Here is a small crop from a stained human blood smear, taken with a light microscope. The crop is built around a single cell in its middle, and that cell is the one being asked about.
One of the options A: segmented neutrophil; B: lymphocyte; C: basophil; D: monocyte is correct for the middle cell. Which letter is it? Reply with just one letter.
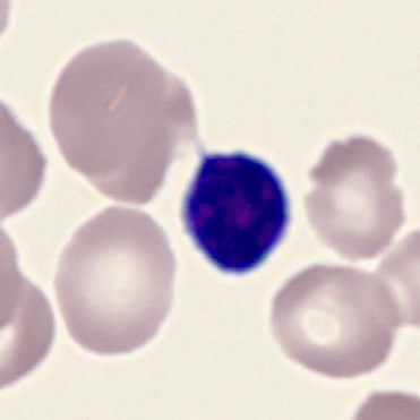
B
